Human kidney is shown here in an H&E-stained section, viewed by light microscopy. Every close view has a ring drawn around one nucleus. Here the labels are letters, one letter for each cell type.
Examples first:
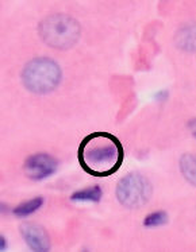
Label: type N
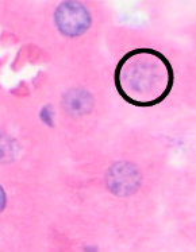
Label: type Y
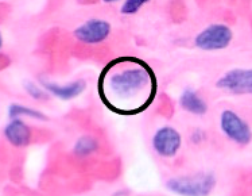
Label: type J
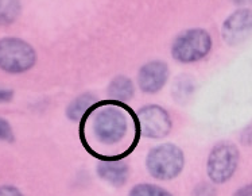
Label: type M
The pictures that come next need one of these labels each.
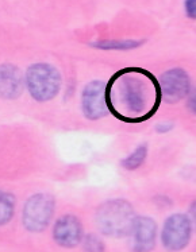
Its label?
type M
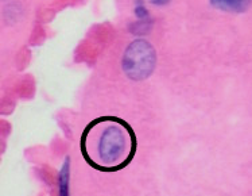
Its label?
type Y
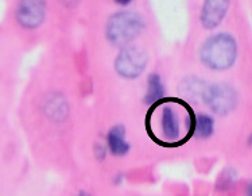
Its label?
type M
